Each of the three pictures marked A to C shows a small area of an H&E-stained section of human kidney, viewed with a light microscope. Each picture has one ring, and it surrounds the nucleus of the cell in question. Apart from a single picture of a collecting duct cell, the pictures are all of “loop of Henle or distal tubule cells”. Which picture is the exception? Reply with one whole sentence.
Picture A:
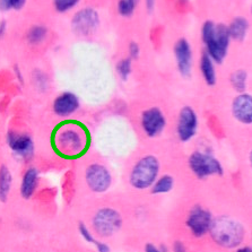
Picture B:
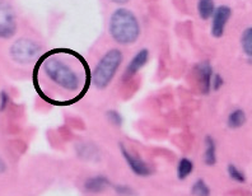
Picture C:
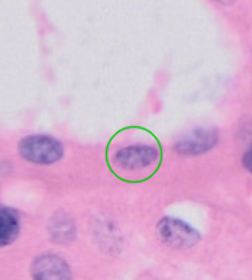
Picture B is the one that shows the collecting duct cell.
